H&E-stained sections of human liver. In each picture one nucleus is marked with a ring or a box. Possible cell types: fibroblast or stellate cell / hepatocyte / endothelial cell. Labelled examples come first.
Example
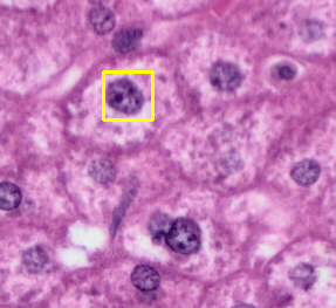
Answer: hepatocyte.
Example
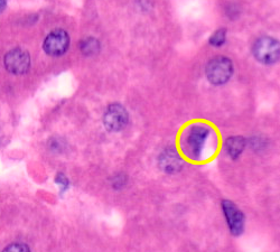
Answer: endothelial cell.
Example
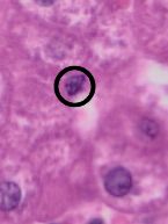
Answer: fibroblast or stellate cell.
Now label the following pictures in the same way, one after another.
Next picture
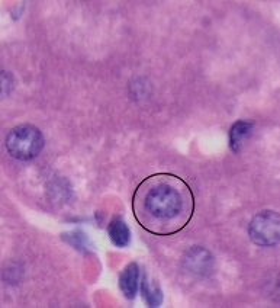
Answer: hepatocyte.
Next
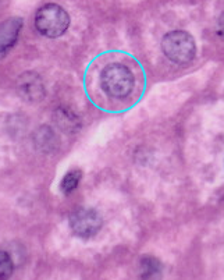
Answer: hepatocyte.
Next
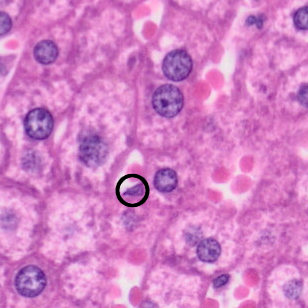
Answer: endothelial cell.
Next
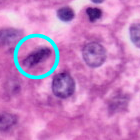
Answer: fibroblast or stellate cell.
